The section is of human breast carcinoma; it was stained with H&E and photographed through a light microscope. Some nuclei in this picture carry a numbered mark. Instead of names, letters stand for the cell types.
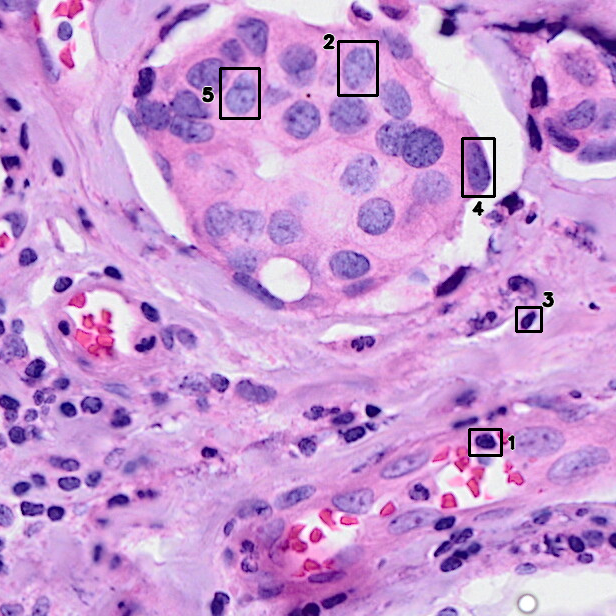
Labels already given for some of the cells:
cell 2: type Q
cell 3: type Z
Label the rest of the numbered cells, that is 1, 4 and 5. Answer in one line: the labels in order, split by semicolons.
type Z; type Q; type Q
